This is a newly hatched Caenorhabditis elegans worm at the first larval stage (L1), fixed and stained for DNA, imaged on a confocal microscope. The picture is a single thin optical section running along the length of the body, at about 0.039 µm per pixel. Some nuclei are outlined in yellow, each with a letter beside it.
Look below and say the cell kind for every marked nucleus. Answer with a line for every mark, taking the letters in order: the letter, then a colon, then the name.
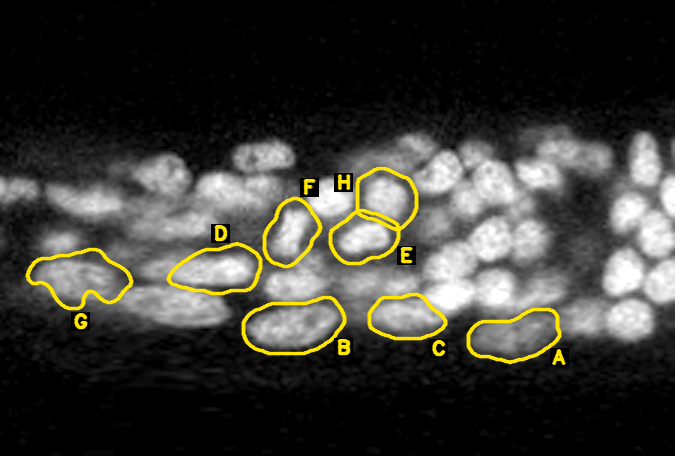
A: body wall muscle cell
B: body wall muscle cell
C: neuron
D: arcade cell
E: pharyngeal muscle cell
F: pharyngeal muscle cell
G: body wall muscle cell
H: neuron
